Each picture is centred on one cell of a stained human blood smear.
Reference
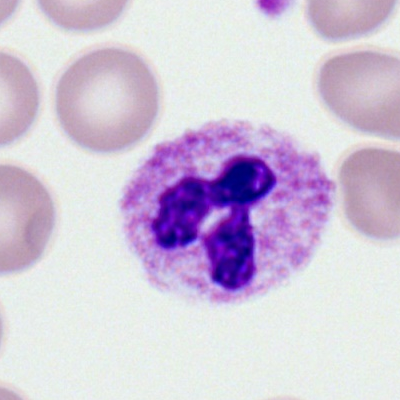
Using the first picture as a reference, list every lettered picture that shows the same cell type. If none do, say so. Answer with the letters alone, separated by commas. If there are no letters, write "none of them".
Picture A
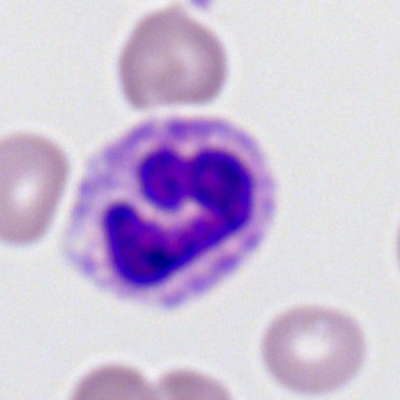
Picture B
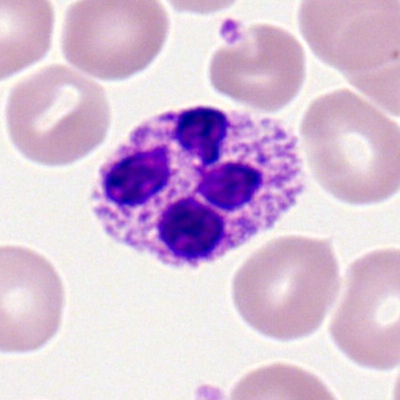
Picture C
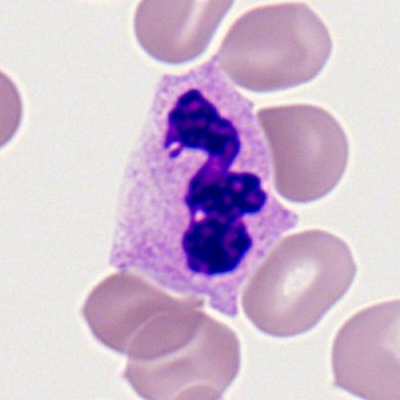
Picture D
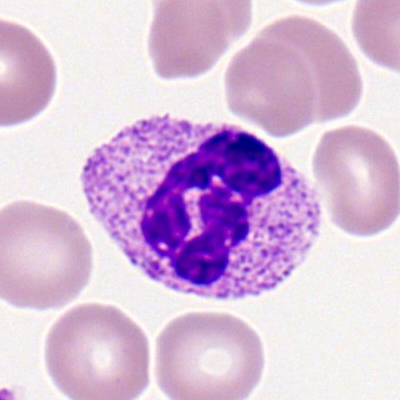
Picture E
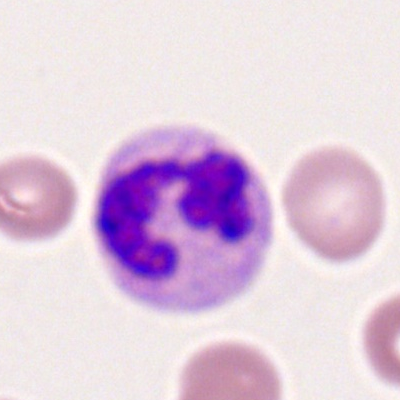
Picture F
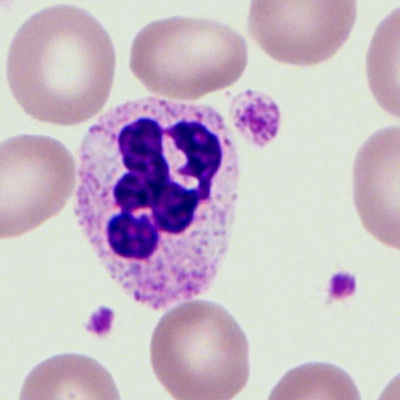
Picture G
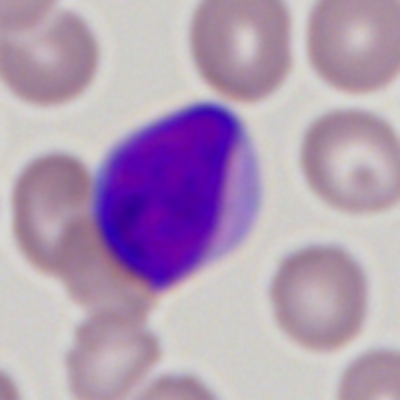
A, B, C, D, E, F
